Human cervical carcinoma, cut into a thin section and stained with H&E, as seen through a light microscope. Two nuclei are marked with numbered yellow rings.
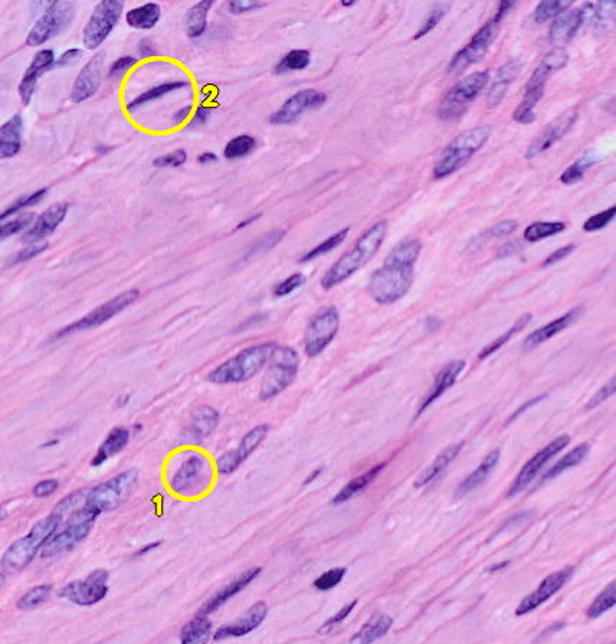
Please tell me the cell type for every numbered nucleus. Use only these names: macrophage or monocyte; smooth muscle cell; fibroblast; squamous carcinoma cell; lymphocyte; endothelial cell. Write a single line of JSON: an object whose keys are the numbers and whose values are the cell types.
{"1": "smooth muscle cell", "2": "fibroblast"}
